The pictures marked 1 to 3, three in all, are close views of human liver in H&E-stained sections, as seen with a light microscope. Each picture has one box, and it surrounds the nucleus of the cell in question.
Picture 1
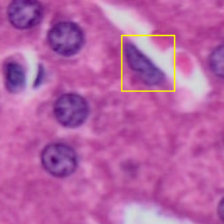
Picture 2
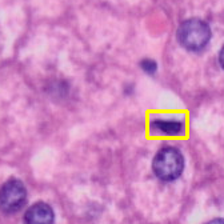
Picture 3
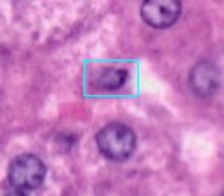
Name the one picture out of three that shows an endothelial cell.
2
